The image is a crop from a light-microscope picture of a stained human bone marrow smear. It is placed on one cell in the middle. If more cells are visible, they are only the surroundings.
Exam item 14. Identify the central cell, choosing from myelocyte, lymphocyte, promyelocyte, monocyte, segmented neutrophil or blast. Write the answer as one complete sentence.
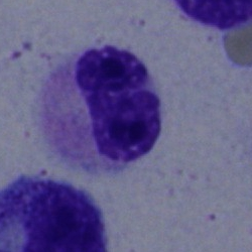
The cell centred in this crop is categorized as a segmented neutrophil.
